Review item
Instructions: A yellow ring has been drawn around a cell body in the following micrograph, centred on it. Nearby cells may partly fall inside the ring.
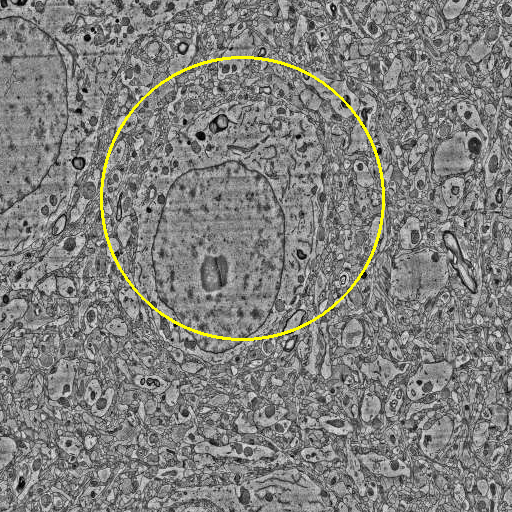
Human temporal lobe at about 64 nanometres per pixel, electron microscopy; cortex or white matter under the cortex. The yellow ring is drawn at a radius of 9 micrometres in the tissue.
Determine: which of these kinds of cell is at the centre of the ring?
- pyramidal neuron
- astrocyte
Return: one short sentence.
The cell body in the middle of the ring is that of a pyramidal neuron.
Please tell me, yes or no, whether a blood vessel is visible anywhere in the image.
No.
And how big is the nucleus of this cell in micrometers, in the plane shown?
Roughly 12 by 9 micrometres is the size of the nucleus in this plane.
